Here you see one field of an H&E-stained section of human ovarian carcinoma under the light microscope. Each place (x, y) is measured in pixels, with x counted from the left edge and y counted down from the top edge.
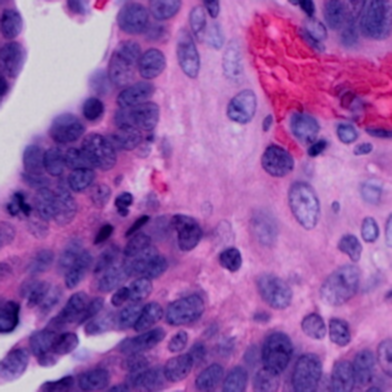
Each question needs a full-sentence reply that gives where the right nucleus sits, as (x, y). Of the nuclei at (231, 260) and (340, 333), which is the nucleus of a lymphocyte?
The pair contains one nucleus of a lymphocyte, namely the one at (231, 260).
